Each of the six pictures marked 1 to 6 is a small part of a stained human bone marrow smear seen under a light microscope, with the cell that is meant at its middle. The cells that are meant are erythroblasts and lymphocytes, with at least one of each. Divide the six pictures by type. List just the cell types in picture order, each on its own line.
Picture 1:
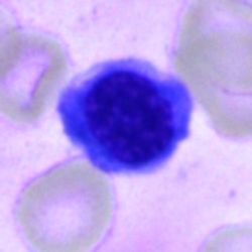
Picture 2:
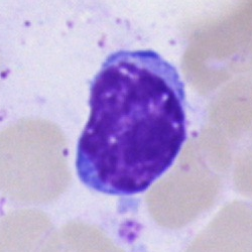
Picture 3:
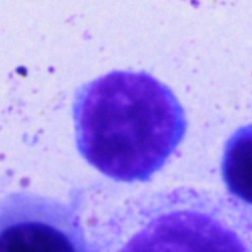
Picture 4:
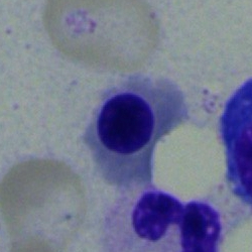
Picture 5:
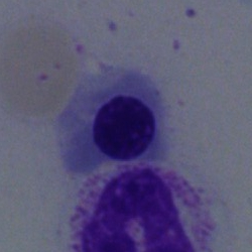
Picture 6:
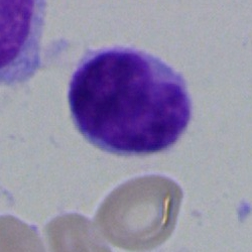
erythroblast
lymphocyte
lymphocyte
erythroblast
erythroblast
lymphocyte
